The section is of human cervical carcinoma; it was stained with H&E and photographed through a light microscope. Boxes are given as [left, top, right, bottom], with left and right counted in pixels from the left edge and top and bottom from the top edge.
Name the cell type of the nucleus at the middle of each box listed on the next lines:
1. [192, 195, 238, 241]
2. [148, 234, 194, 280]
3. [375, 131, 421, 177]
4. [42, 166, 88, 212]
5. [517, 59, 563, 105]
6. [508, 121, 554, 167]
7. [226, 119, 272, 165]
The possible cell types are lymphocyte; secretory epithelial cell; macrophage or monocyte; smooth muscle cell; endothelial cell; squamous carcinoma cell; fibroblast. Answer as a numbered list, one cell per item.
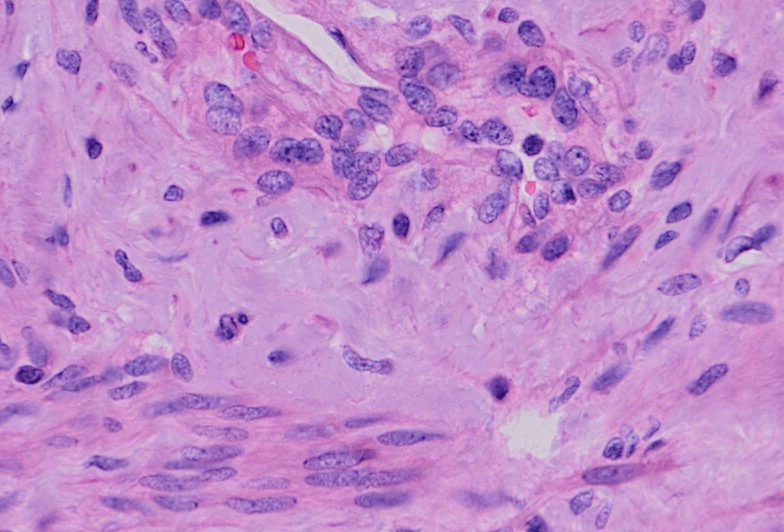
1. fibroblast
2. fibroblast
3. endothelial cell
4. fibroblast
5. endothelial cell
6. lymphocyte
7. endothelial cell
